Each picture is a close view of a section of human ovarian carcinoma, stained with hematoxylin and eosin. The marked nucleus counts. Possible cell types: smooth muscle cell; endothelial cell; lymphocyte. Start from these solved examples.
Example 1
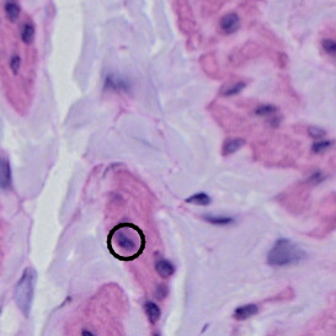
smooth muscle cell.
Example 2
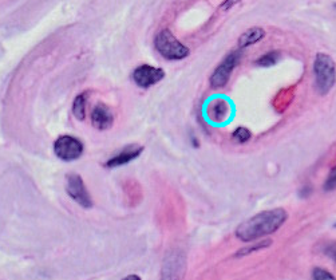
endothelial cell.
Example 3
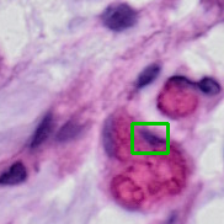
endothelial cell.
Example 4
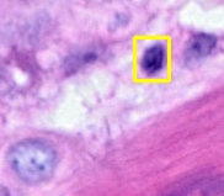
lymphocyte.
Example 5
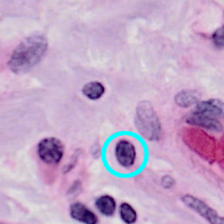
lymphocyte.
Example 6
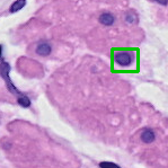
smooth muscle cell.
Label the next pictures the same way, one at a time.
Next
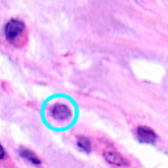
lymphocyte.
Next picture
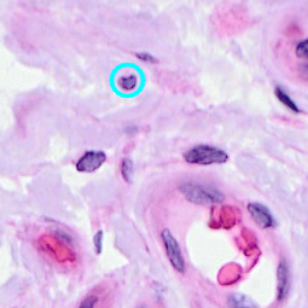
lymphocyte.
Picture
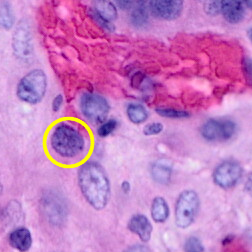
endothelial cell.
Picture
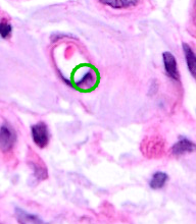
endothelial cell.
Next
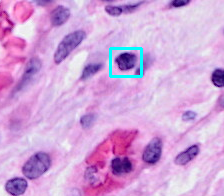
lymphocyte.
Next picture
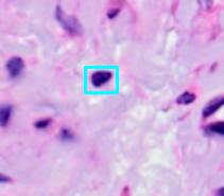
lymphocyte.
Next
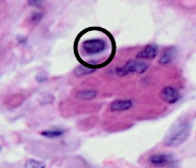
lymphocyte.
